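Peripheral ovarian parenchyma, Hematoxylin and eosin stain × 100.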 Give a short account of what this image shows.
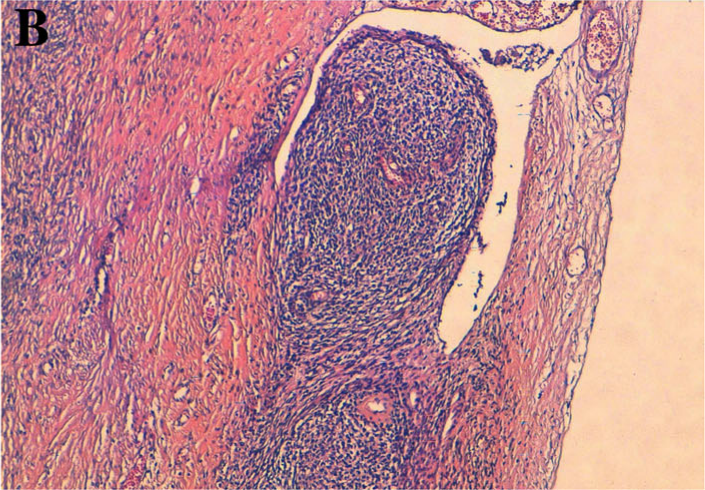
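A tongue-like protrusion of densely packed small, blue-staining cells with scant cytoplasm bulges into a vascular space. The protrusion is separated from the surrounding pink fibrous stroma by a narrow clear cleft, and it contains small vessels. Further small vessels with red blood cells lie in the loose tissue nearby.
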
